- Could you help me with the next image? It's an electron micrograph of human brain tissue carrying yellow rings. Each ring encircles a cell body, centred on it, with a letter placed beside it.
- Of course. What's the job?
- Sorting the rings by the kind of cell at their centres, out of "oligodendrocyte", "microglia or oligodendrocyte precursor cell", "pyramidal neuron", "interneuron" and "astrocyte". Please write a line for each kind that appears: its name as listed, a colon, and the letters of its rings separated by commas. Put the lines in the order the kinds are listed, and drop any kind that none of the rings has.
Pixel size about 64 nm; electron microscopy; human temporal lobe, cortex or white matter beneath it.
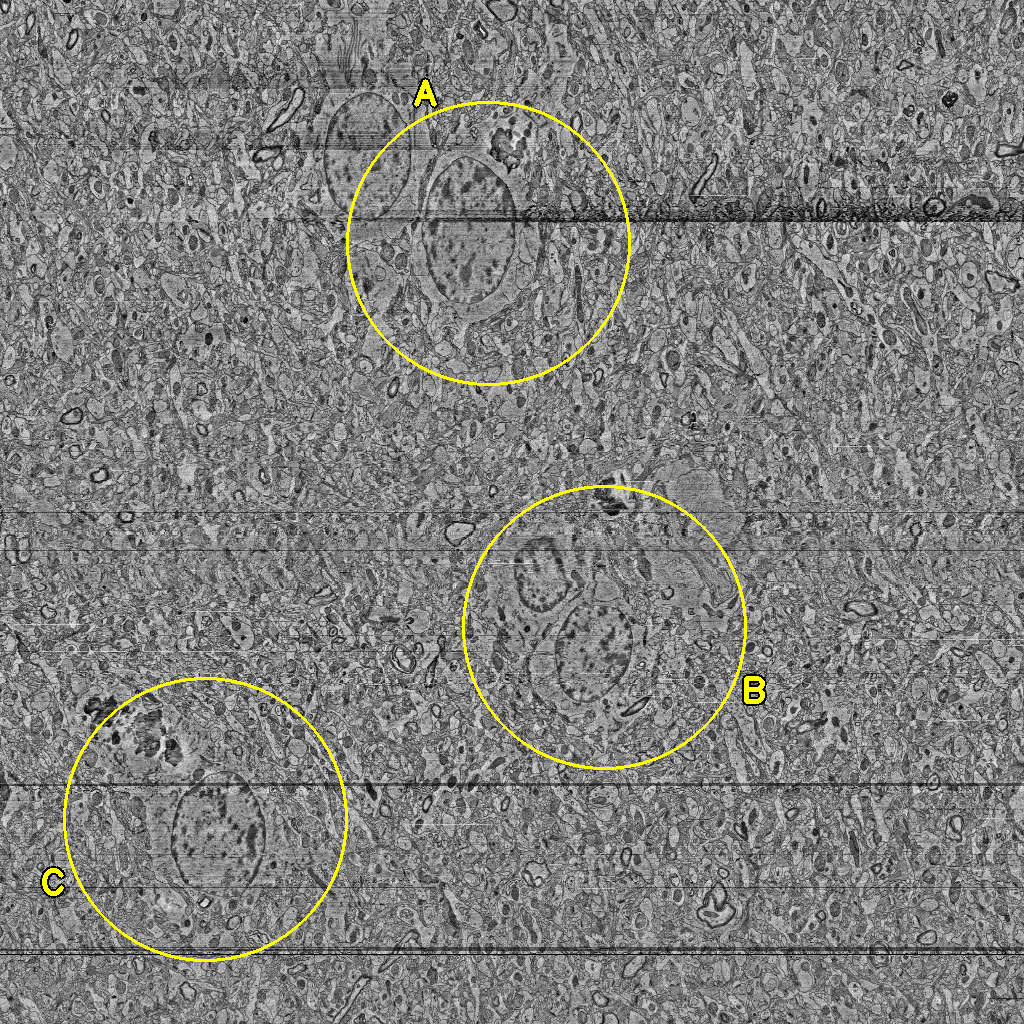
astrocyte: A, B, C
